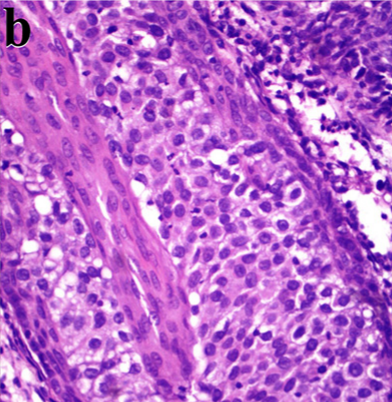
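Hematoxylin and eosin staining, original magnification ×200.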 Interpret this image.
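Epidermis infiltrated by large tumor cells lying between ordinary squamous cells. The tumor cells are large, with distinct borders and abundant pale, partly clear cytoplasm. A band of pinker, more compact squamous cells runs diagonally beside the tumor cells. Darker, smaller cells with dense nuclei line the edges toward the surrounding stroma.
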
